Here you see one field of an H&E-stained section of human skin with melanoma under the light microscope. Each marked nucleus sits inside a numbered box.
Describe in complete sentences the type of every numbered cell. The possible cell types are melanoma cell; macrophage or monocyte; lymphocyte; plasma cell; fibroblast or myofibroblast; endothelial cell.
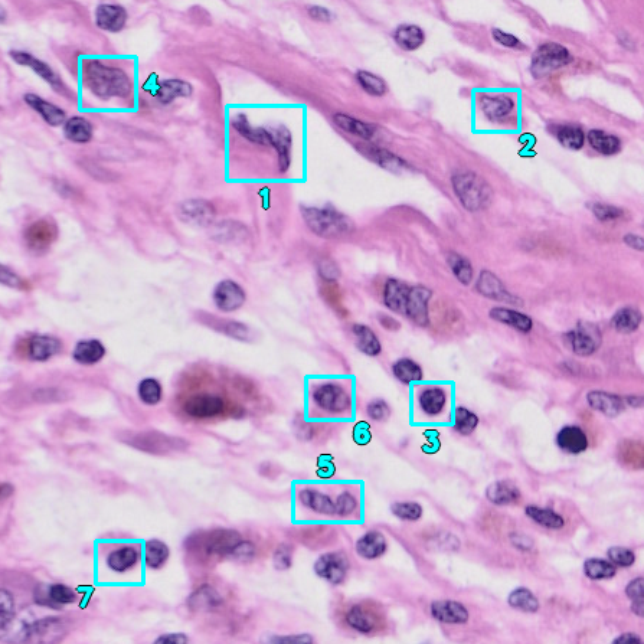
Cell 1 is an endothelial cell. Cells 2, 4, 5 and 6 are macrophages or monocytes. Cells 3 and 7 are lymphocytes.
